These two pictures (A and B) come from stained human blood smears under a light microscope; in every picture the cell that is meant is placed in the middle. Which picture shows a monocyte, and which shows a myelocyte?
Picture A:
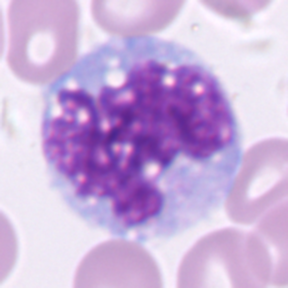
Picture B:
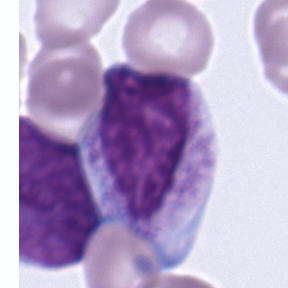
A: monocyte
B: myelocyte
